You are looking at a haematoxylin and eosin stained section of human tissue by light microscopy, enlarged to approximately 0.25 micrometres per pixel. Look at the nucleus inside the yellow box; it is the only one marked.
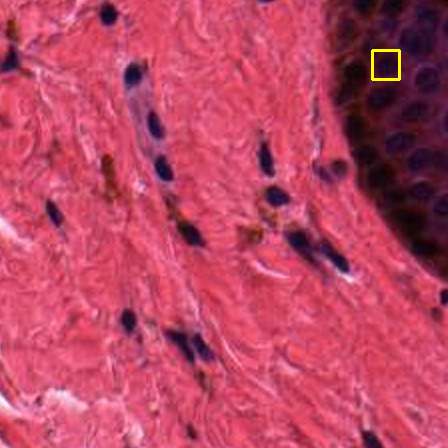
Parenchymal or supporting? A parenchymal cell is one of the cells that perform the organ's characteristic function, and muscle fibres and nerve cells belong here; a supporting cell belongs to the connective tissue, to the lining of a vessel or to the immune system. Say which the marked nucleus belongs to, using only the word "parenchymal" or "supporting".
parenchymal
